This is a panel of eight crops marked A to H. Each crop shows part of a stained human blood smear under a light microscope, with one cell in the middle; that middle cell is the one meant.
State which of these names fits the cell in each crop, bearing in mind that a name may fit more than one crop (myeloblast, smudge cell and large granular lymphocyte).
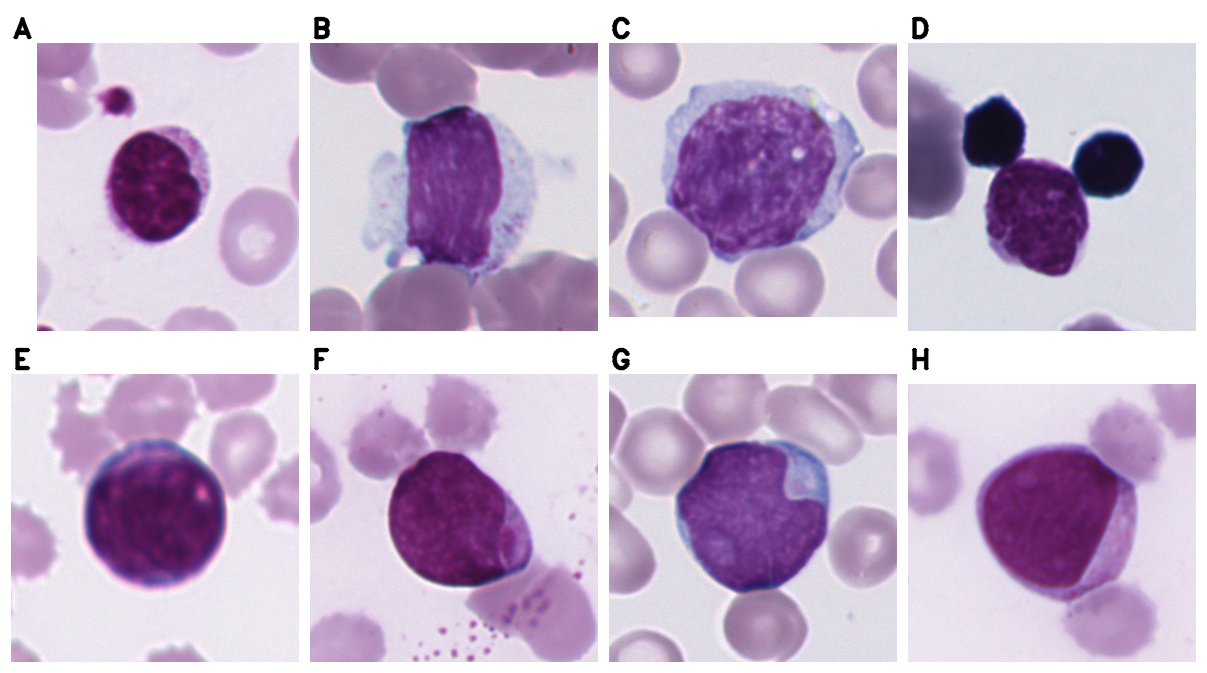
A: large granular lymphocyte
B: large granular lymphocyte
C: myeloblast
D: myeloblast
E: myeloblast
F: myeloblast
G: myeloblast
H: myeloblast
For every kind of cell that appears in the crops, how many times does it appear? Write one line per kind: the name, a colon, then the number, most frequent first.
myeloblast: 6
large granular lymphocyte: 2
